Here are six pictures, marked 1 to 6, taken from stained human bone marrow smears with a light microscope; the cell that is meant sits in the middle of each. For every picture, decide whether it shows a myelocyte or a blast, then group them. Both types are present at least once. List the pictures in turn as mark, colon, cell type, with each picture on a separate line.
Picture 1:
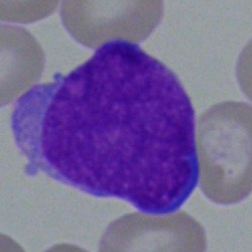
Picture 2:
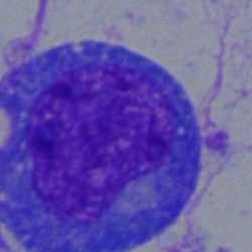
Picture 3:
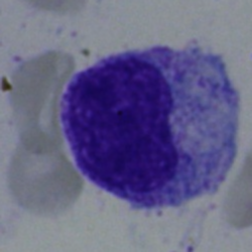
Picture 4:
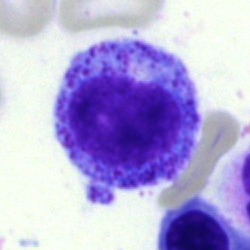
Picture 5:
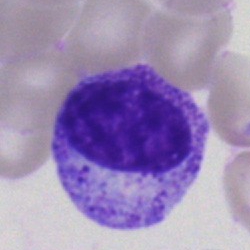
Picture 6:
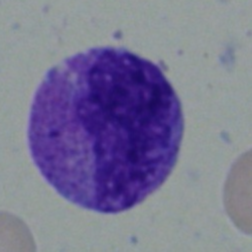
1: blast
2: blast
3: myelocyte
4: myelocyte
5: myelocyte
6: myelocyte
